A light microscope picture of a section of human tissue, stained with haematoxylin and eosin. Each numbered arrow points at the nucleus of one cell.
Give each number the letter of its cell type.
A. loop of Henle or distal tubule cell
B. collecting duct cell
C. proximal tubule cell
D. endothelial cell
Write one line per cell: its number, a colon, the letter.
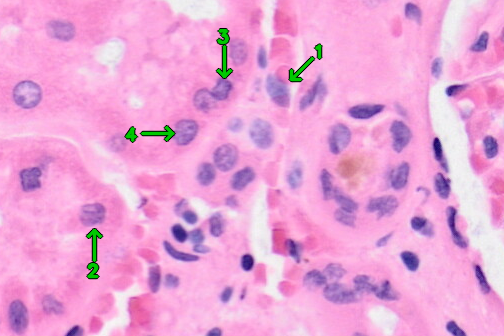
1: D
2: C
3: C
4: C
